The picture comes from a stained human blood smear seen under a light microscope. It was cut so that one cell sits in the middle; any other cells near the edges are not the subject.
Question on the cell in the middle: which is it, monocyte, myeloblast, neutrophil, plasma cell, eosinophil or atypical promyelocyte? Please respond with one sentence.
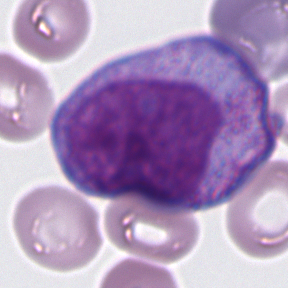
In the middle of this smear crop is an atypical promyelocyte.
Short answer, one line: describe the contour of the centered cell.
The cell is bounded by a ragged or projection-bearing margin rather than a smooth one.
